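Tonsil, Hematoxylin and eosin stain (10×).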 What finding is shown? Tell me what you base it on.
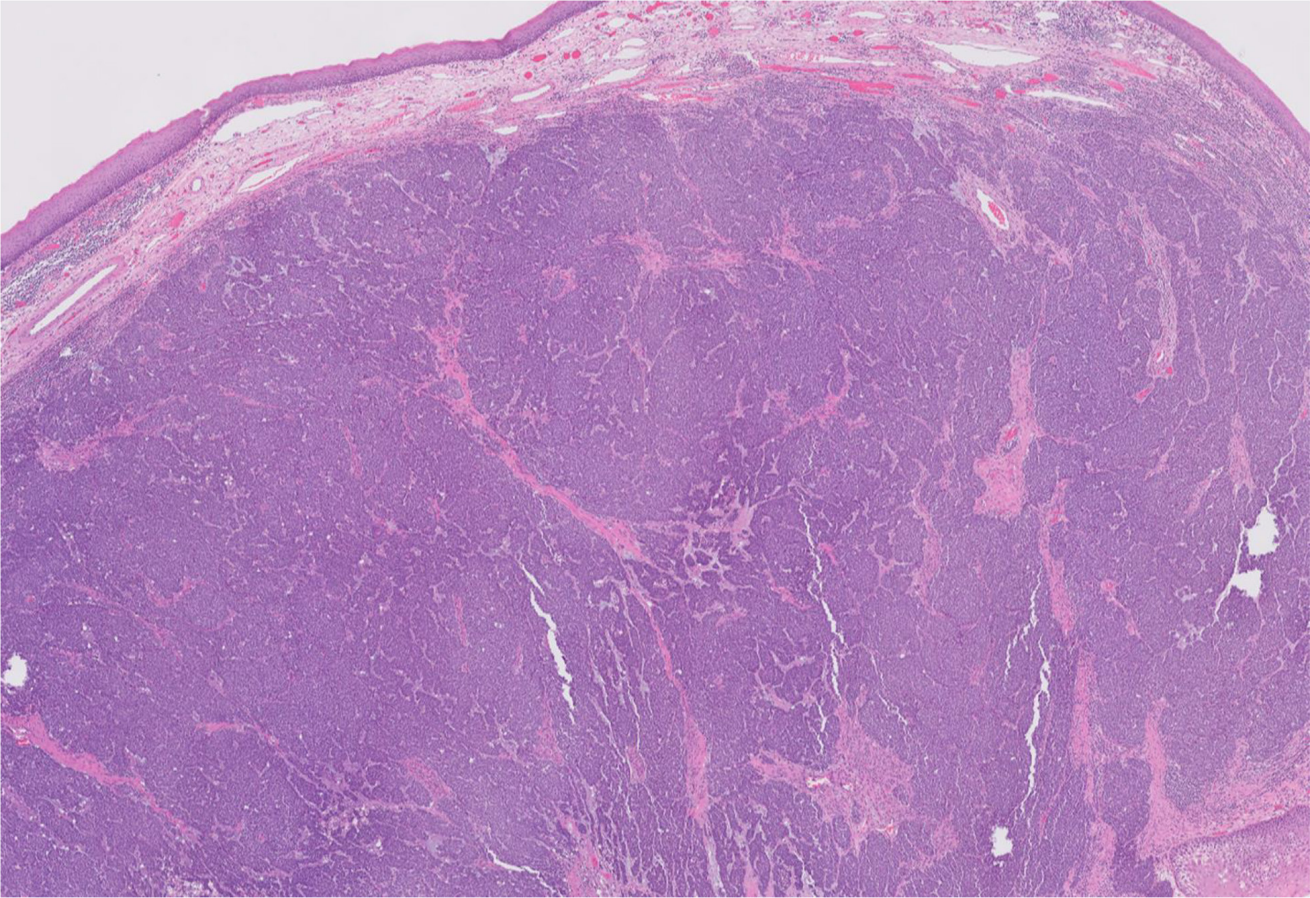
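Densely packed, deep purple-blue cells fill almost the whole panel. Thin pink strands of stroma run through the blue mass and divide it into vague nodules. A strip of loose pink vascular tissue separates the blue mass from a surface epithelium at the top.
Answer: nodular proliferation of small blue cells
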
